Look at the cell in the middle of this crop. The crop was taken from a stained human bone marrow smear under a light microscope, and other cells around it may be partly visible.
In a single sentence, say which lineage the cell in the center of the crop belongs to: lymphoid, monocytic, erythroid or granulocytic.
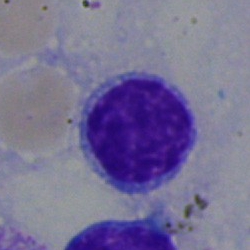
The cell at the middle of the crop is designated as lymphoid in lineage.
